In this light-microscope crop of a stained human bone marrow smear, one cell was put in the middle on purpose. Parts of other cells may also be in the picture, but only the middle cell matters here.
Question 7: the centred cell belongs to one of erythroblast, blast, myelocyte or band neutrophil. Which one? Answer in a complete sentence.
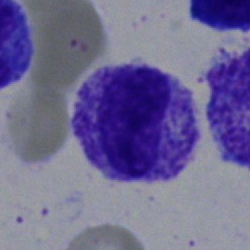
In the center of this field lies a myelocyte.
